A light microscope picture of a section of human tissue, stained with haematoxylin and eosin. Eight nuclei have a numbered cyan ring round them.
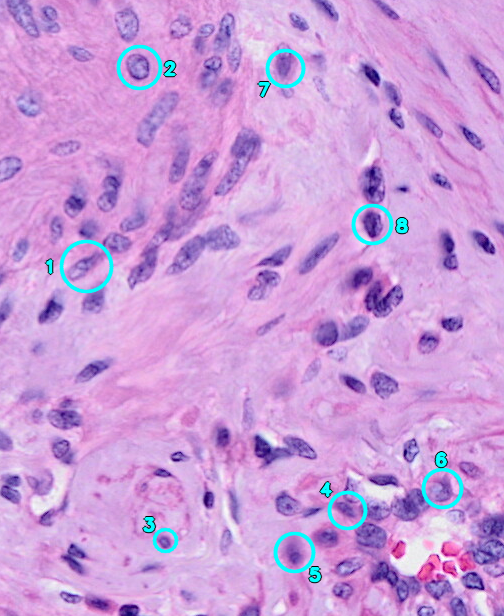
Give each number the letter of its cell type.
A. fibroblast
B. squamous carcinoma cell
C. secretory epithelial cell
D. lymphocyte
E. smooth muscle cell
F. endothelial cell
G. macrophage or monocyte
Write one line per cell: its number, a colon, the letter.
1: E
2: E
3: E
4: F
5: E
6: F
7: E
8: D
